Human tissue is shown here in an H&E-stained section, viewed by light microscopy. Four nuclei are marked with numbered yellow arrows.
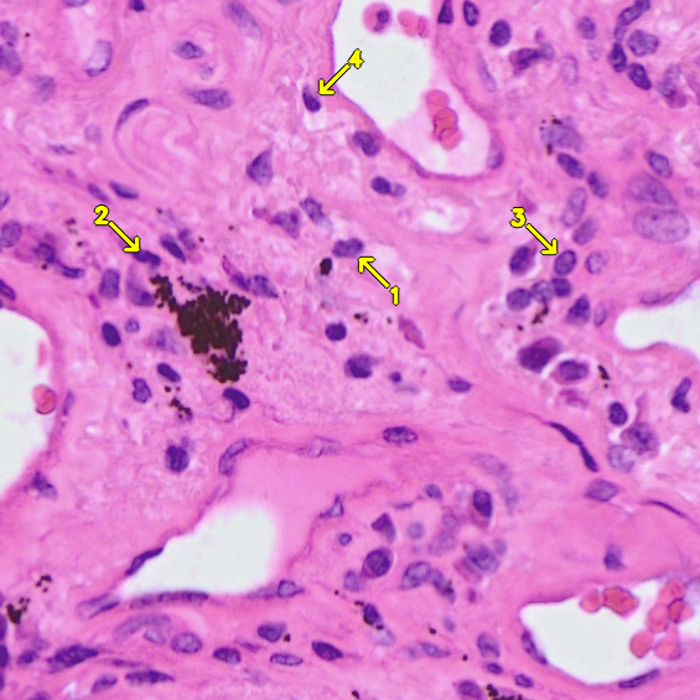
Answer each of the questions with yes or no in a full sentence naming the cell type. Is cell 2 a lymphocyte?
No, number 2 identifies a plasma cell, not a lymphocyte.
